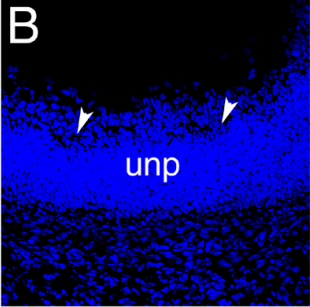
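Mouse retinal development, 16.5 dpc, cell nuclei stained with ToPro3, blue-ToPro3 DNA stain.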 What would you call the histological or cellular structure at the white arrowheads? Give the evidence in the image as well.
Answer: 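The arrowheads point to a thin dark, nucleus-poor seam near the inner edge of the thick blue nuclear layer.
Emerging inner plexiform layer.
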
